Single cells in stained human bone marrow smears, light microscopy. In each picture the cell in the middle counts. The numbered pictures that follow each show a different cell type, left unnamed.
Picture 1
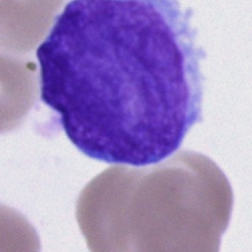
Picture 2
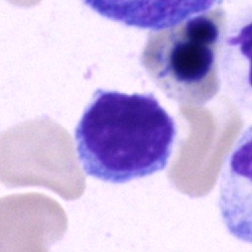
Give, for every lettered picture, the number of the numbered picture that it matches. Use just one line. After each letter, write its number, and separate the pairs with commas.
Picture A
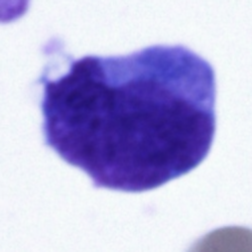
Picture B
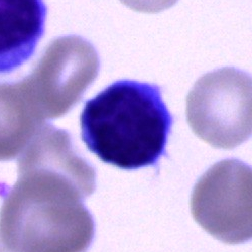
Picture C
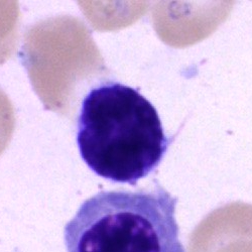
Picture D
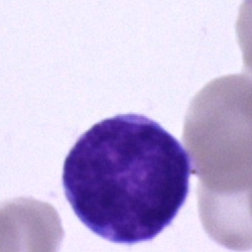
A 1, B 2, C 2, D 1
